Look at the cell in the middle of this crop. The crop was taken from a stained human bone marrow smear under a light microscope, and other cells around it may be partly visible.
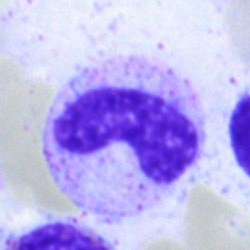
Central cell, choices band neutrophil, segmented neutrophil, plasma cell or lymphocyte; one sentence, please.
The cell sitting right in the middle is a band neutrophil.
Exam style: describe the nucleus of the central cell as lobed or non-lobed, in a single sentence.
Round, oval or kidney-shaped, the nucleus is one compact mass.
